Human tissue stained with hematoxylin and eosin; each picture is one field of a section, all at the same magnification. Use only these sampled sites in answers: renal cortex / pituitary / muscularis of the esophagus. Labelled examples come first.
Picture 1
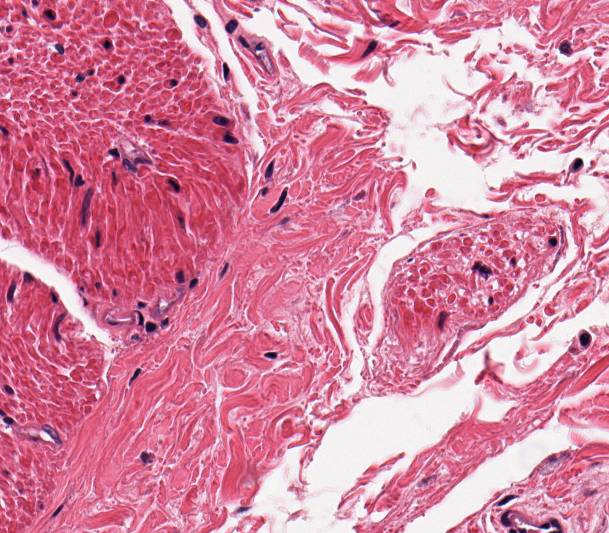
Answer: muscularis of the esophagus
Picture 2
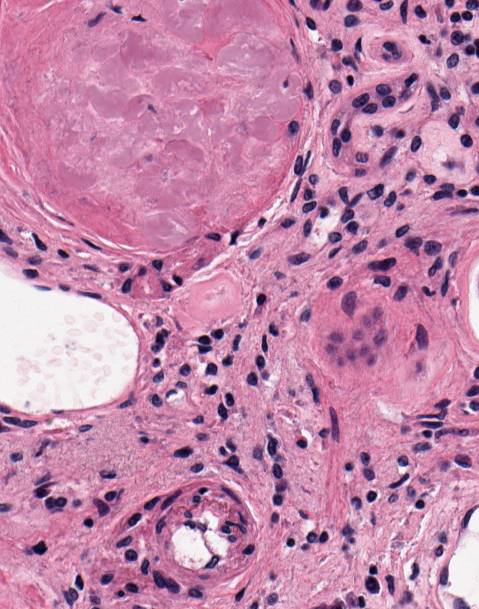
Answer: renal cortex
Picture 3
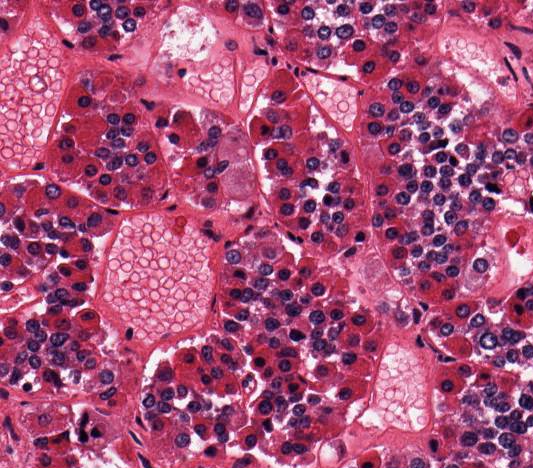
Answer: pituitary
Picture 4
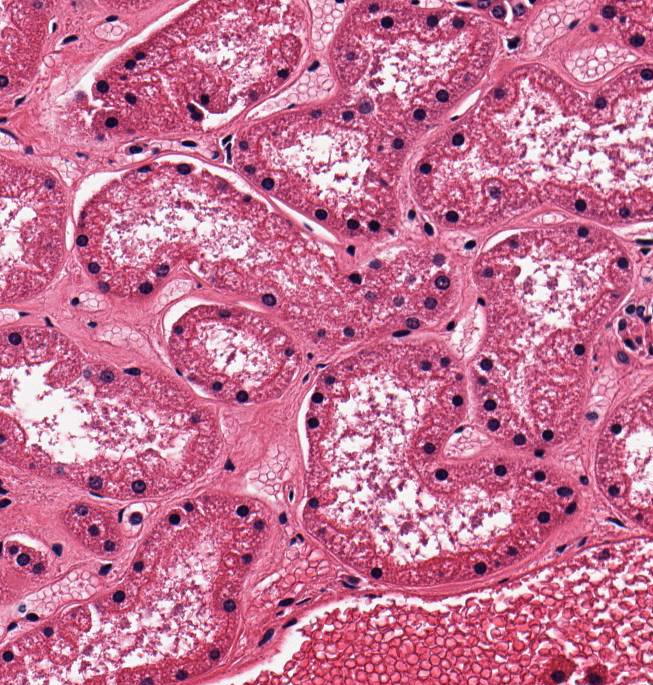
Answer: renal cortex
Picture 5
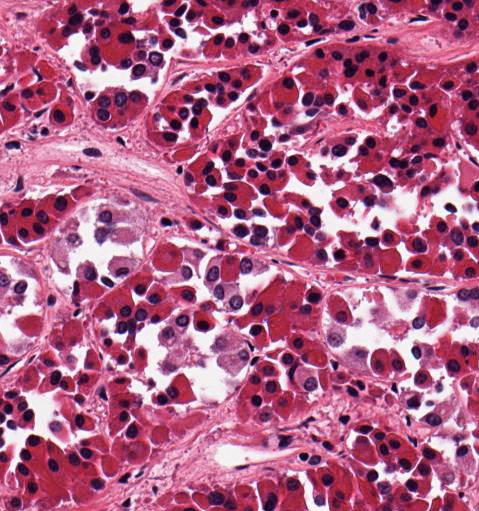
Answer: pituitary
